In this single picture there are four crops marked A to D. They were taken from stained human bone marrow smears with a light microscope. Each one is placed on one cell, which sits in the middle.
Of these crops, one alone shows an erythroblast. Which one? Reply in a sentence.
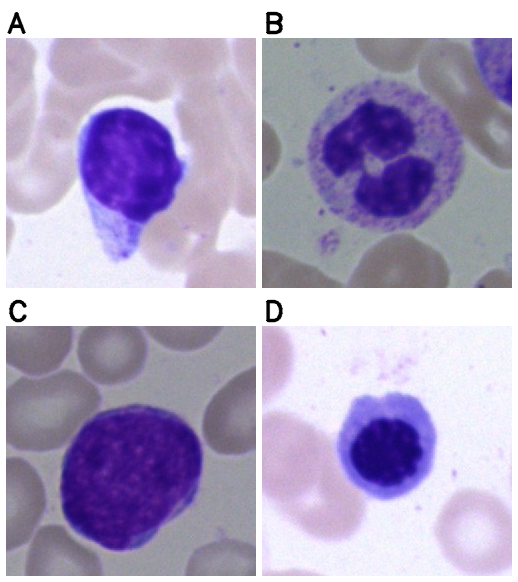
The one crop in the set with an erythroblast is crop D.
